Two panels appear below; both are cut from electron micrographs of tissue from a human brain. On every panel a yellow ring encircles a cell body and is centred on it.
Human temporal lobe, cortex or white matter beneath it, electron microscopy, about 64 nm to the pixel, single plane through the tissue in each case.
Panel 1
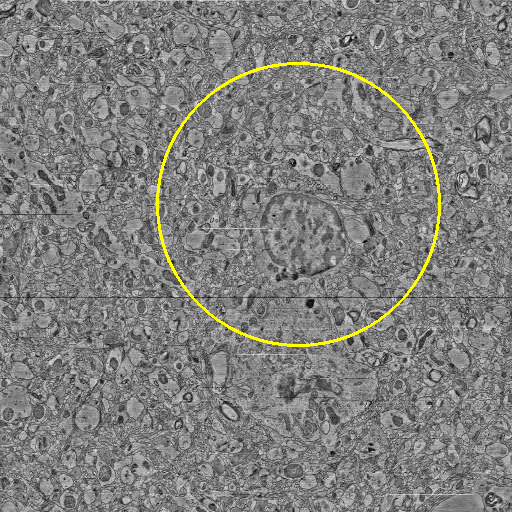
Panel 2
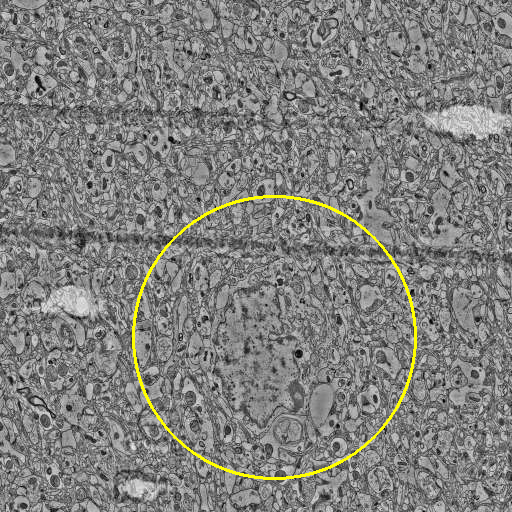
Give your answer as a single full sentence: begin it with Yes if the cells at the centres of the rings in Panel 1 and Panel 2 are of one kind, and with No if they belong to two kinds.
No, the cells in the middle of the rings in Panels 1 and 2 are of two kinds.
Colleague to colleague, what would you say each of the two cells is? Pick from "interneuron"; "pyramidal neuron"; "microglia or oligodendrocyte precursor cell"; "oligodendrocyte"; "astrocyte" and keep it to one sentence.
The cell in the first picture is an oligodendrocyte; the second picture's cell is an interneuron.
